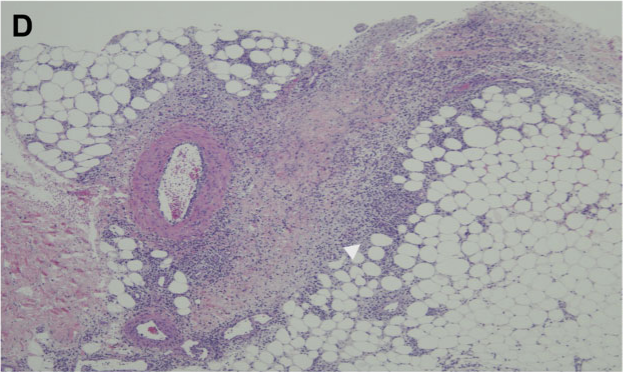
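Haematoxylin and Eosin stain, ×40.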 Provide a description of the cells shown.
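At low magnification, subcutaneous fat is divided by a thickened fibrous septum that is heavily infiltrated by inflammatory cells with dark purple nuclei. Thick-walled vessels with pink muscular walls lie within the septum, and the inflammatory infiltrate extends into the edges of the adjacent lobules of clear fat cells.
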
